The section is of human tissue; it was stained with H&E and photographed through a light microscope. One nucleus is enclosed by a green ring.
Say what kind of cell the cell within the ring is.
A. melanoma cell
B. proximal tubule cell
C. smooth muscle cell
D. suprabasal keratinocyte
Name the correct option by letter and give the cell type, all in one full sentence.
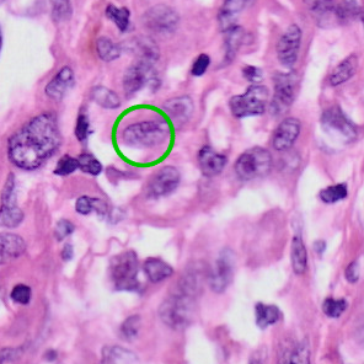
Option A is accurate, for the cell within the ring is a melanoma cell.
